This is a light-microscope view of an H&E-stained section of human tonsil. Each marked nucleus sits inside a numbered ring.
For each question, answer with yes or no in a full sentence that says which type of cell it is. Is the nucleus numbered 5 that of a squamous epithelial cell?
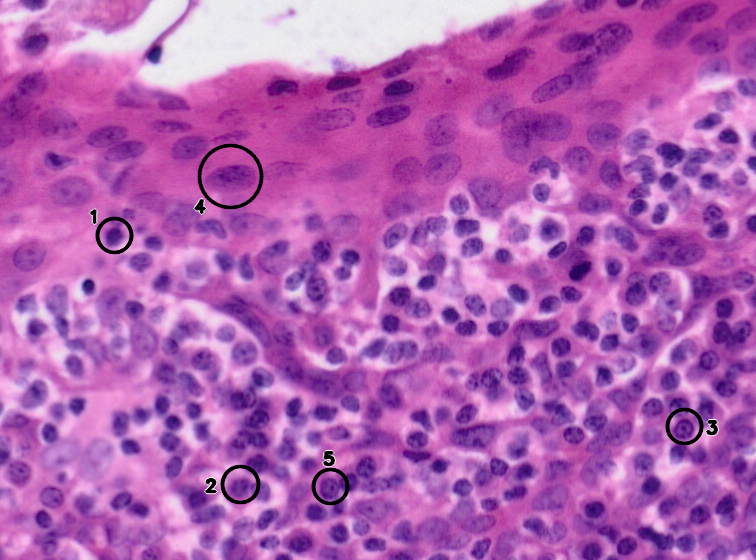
No, number 5 marks a plasma cell rather than a squamous epithelial cell.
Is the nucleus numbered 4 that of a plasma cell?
No, cell 4 is a squamous epithelial cell; it is not a plasma cell.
